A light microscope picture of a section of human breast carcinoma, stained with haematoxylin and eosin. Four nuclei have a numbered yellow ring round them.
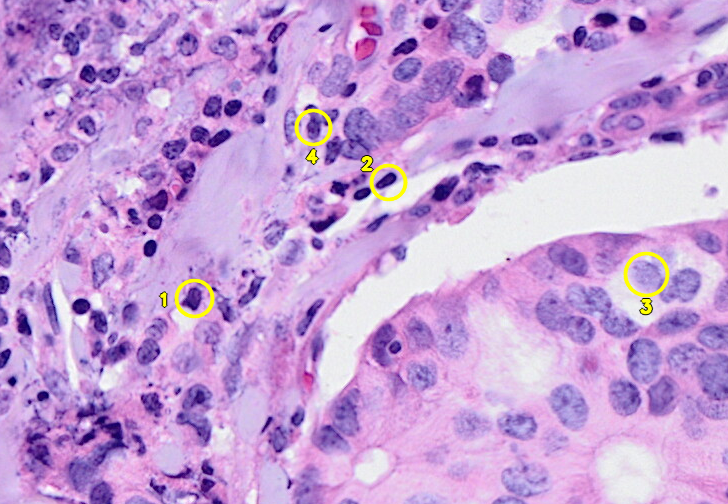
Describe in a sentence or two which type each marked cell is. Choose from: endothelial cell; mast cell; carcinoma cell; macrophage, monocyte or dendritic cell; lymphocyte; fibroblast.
Cell 1 is a lymphocyte, cell 2 is a lymphocyte, cell 3 is a carcinoma cell and cell 4 is a lymphocyte.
